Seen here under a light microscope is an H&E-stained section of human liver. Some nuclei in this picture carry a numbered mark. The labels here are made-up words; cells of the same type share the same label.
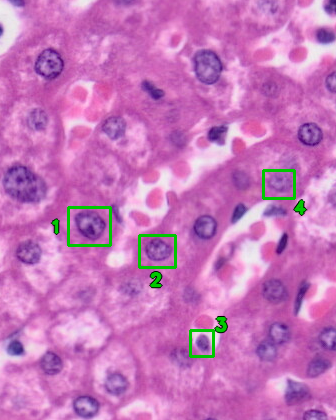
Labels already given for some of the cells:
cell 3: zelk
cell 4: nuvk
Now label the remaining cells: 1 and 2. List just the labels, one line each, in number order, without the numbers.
nuvk
nuvk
